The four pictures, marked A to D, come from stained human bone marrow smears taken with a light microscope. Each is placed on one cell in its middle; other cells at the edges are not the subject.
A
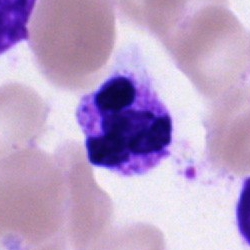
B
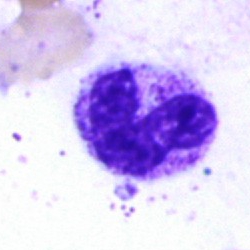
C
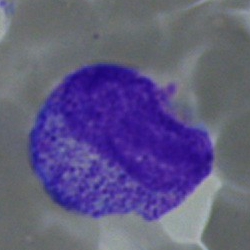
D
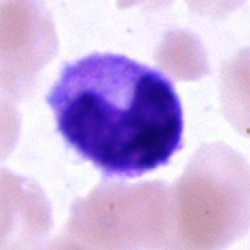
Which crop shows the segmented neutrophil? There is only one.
A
